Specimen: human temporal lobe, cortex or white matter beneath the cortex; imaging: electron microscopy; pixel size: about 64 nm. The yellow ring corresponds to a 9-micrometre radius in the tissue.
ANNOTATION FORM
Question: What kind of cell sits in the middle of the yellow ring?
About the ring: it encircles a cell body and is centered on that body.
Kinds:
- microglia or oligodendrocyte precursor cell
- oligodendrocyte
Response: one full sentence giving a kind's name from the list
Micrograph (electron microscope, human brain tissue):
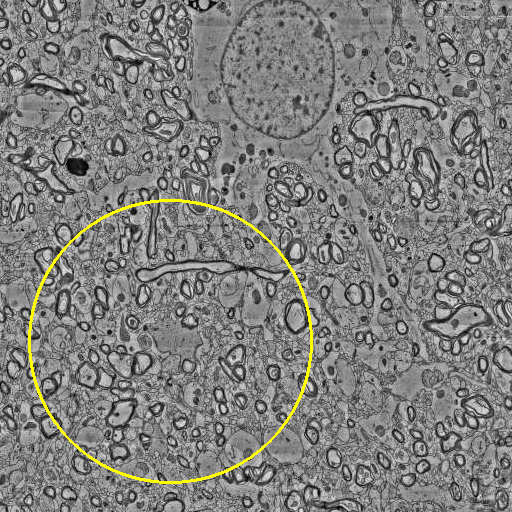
The kind of cell found at the center of the yellow ring in the micrograph is an oligodendrocyte.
